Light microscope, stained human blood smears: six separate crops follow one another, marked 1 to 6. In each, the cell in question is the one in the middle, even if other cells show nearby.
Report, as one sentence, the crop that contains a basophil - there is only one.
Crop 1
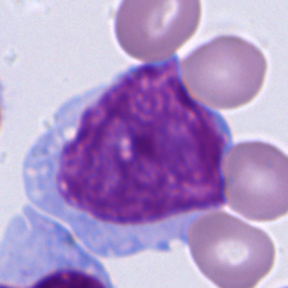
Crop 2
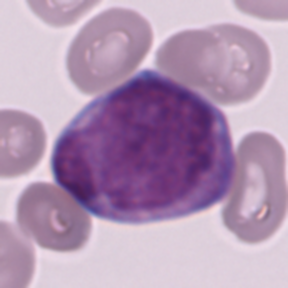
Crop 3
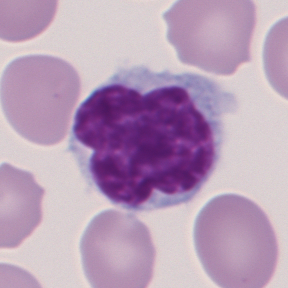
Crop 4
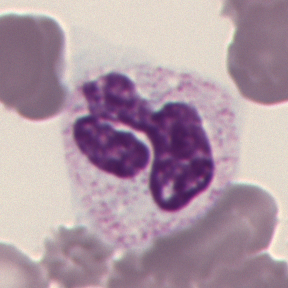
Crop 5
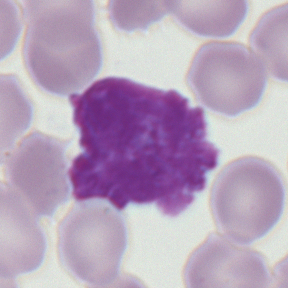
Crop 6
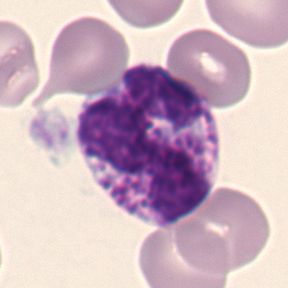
In this series, a basophil is shown by crop 6.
